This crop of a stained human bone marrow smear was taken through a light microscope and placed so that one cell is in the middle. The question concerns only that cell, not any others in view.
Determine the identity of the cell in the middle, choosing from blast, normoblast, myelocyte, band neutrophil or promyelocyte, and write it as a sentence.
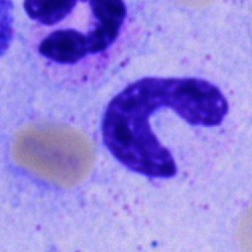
Framed in the middle of the crop is a band neutrophil.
